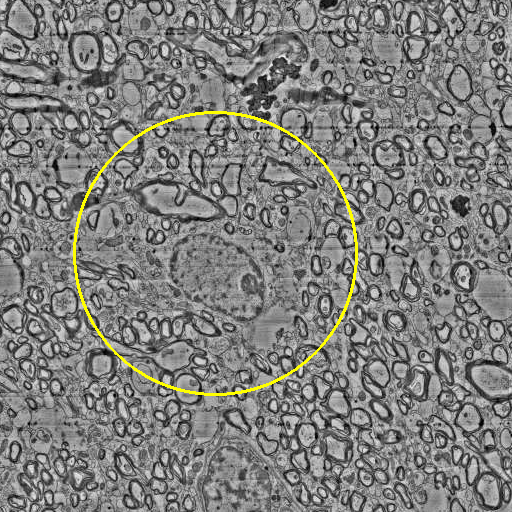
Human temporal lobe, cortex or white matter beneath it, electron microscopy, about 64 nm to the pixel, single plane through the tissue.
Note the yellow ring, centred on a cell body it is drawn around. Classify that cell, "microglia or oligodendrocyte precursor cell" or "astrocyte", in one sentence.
The cell the ring is centred on is an astrocyte.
